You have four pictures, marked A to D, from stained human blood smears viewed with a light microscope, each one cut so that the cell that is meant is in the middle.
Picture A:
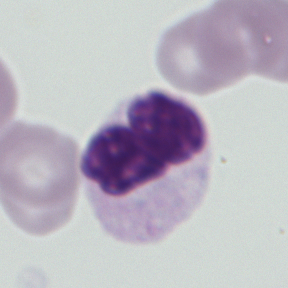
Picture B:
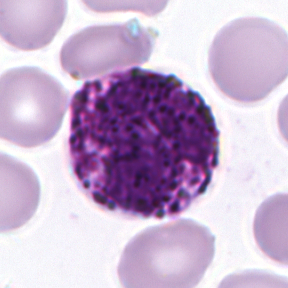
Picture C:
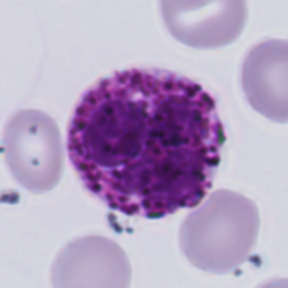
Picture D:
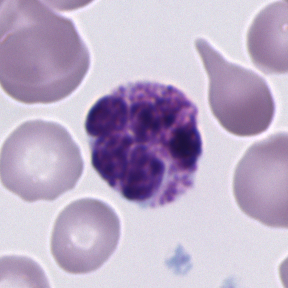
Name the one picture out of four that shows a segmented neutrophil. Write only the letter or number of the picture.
A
